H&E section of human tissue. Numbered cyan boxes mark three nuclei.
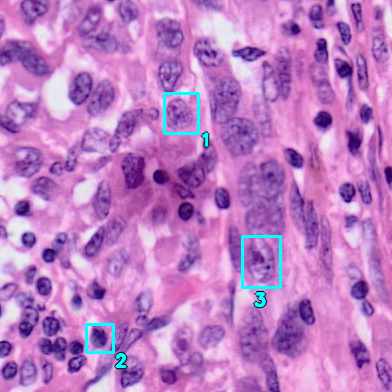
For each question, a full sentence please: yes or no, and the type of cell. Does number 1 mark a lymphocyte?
No, the cell tagged 1 is a melanoma cell, not a lymphocyte.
